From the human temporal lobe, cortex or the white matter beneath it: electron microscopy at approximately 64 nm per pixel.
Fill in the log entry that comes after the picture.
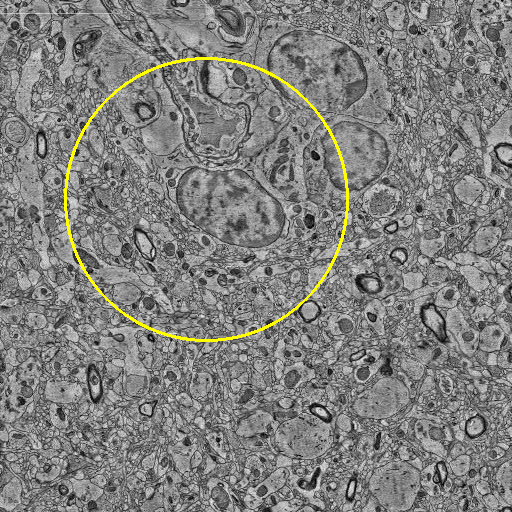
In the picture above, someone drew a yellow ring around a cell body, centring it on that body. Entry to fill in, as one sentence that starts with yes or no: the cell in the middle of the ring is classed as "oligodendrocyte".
No, the cell in the ring's centre in this image is of a different kind.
